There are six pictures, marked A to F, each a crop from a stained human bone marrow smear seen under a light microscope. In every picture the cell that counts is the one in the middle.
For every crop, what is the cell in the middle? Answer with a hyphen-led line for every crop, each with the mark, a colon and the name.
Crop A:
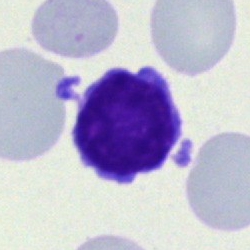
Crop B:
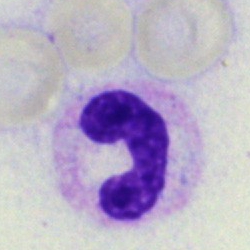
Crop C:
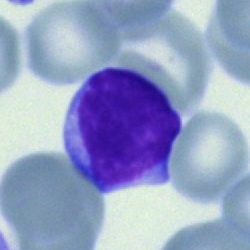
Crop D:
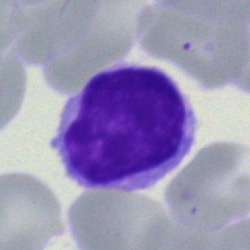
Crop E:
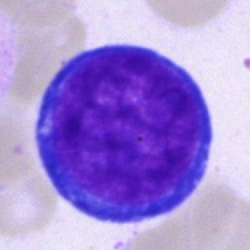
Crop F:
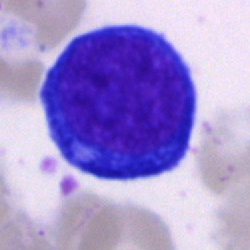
- A: lymphocyte
- B: band neutrophil
- C: lymphocyte
- D: lymphocyte
- E: proerythroblast
- F: proerythroblast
